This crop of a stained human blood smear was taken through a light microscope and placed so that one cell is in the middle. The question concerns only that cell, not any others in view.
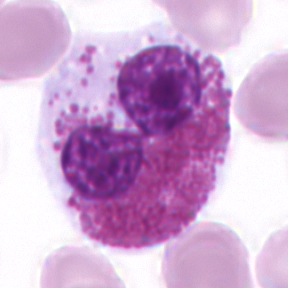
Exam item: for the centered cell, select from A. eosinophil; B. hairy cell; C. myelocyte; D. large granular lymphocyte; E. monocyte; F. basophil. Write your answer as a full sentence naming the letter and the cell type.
In the centre of the crop there is an eosinophil, making option A correct.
